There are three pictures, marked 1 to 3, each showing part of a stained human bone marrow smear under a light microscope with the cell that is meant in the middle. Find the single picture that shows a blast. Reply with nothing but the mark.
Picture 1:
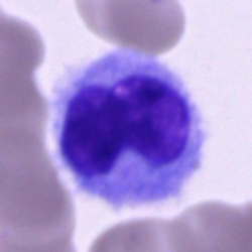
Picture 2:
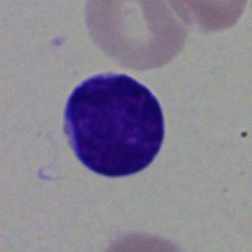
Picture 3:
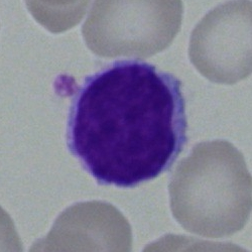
2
